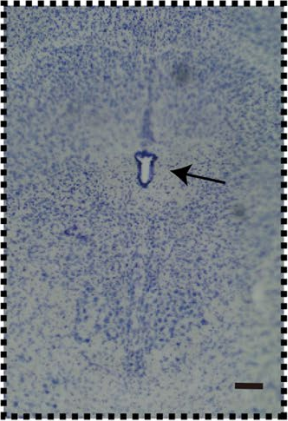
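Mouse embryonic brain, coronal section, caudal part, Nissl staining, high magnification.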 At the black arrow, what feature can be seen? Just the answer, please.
aqueducts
